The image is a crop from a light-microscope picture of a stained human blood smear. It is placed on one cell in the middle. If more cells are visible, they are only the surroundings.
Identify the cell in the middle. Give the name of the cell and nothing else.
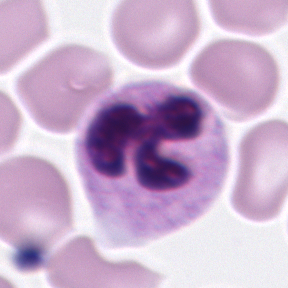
neutrophil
